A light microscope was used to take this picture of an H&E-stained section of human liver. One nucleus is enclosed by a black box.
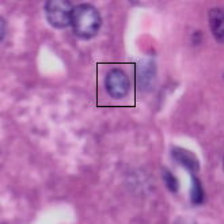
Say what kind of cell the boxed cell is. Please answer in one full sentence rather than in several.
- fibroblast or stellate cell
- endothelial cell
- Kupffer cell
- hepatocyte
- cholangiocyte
The classification of the boxed cell is as a cholangiocyte.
